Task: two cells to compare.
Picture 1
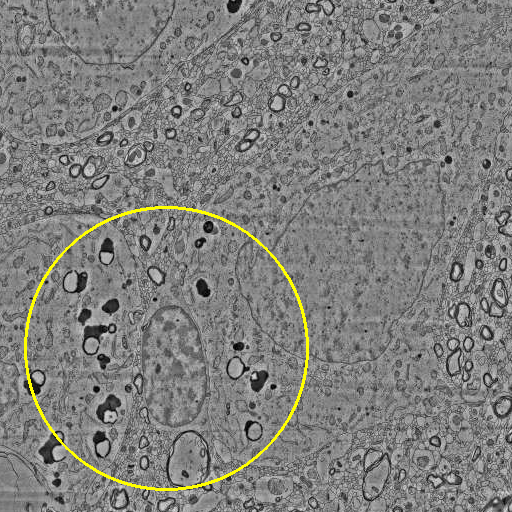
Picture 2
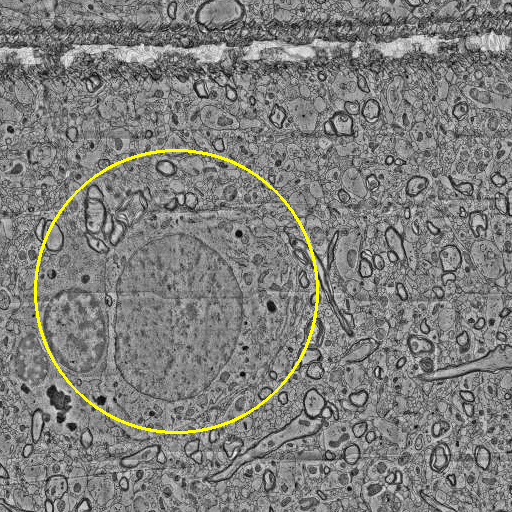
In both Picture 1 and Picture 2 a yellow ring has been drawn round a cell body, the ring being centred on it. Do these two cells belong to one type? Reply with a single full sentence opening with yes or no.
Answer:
No, the two cells at the ring centres in Picture 1 and Picture 2 are of two types.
